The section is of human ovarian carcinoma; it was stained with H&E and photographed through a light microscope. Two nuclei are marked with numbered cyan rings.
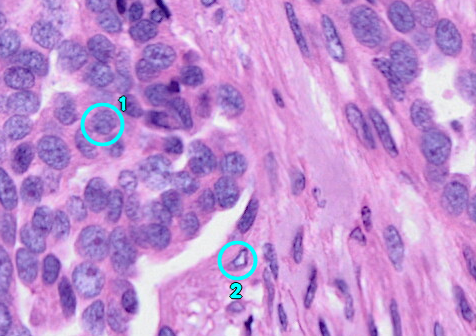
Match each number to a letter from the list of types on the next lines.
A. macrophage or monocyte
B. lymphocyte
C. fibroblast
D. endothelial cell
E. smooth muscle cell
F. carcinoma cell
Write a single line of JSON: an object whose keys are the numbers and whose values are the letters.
{"1": "F", "2": "C"}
